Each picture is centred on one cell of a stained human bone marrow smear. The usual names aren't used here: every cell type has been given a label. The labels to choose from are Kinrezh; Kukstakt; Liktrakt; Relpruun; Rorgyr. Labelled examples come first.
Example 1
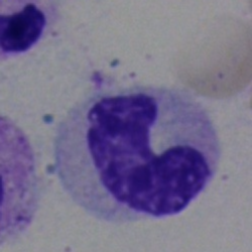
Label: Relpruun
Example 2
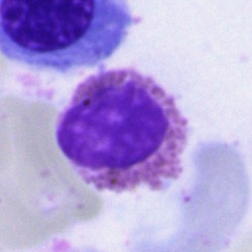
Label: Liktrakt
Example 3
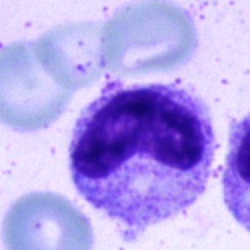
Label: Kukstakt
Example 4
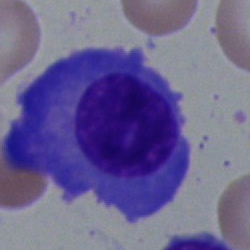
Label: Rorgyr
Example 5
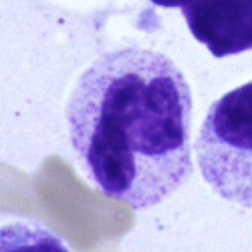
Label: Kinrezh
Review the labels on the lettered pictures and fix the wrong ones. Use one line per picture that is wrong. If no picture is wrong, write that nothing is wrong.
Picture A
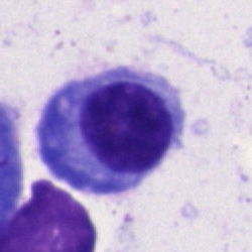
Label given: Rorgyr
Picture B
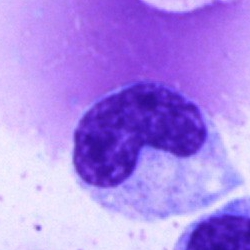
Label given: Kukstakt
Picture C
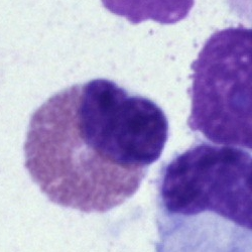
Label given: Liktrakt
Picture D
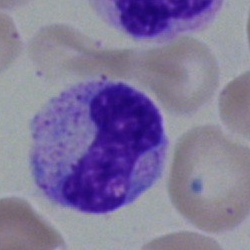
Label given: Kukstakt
D: change Kukstakt to Relpruun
